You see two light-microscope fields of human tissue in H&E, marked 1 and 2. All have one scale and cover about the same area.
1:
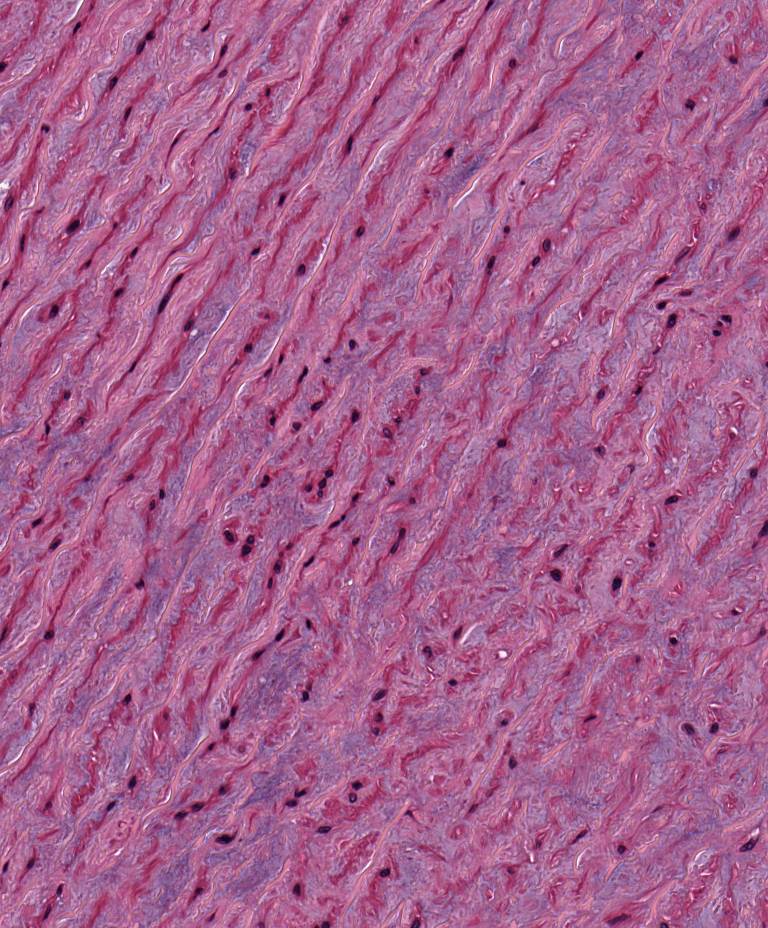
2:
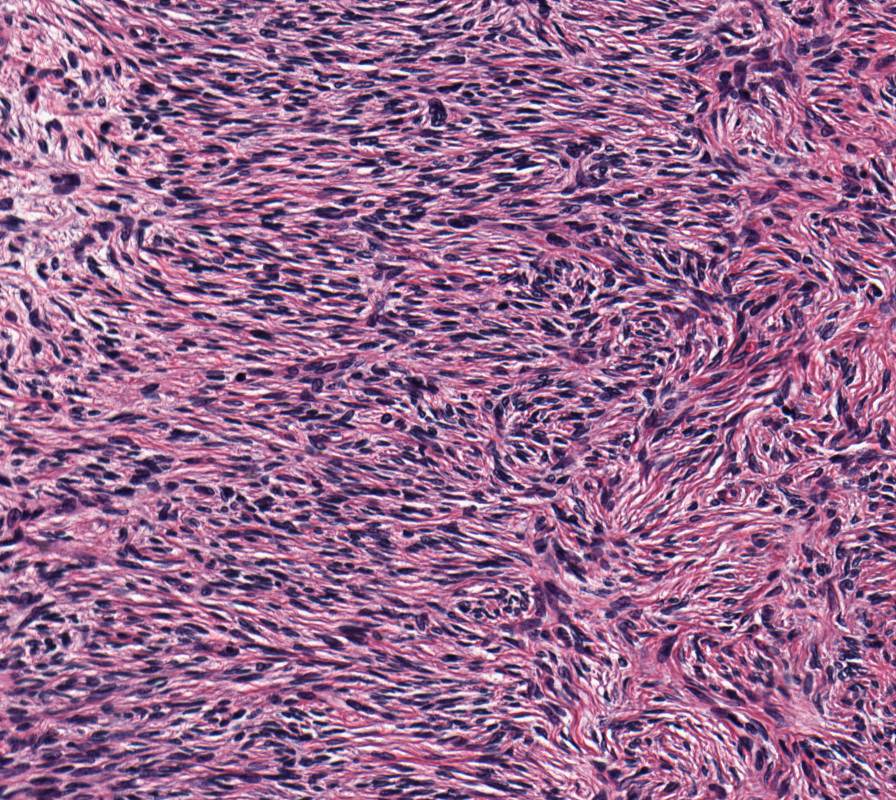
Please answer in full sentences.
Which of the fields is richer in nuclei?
There are more nuclei in picture 2.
